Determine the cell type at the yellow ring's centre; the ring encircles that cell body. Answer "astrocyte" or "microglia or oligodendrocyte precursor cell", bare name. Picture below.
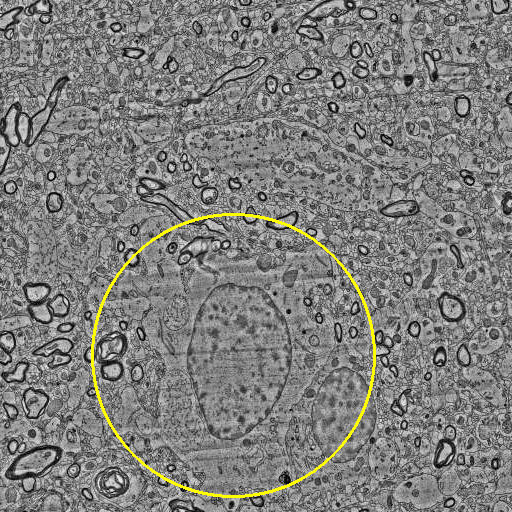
astrocyte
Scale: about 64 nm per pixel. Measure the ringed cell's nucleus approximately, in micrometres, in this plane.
Approximately 10 by 7 micrometers, which makes the nucleus clearly longer than it is wide in this plane.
